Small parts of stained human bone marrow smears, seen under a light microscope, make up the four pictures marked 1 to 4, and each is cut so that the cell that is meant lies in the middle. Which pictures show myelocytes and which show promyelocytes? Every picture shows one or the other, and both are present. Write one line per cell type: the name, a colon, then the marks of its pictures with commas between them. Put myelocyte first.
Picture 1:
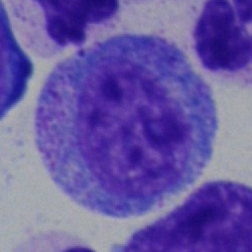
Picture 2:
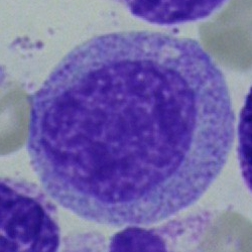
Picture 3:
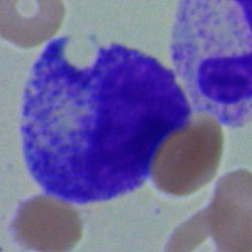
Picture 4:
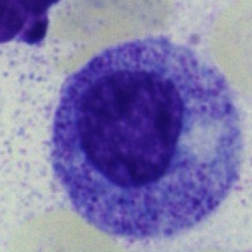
myelocyte: 3, 4
promyelocyte: 1, 2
